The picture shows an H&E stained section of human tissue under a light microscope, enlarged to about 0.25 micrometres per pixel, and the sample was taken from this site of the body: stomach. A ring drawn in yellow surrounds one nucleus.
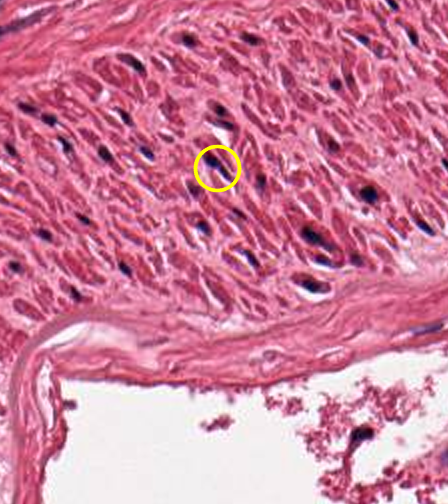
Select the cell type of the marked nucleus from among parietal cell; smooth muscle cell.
smooth muscle cell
